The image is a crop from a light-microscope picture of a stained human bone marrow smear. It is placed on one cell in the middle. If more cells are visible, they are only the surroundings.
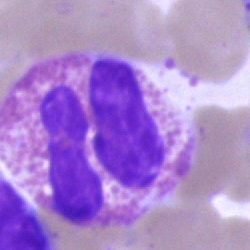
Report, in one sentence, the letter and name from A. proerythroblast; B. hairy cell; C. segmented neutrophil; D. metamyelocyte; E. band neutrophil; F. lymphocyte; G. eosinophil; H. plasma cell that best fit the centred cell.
That cell in the center is an eosinophil, hence option G.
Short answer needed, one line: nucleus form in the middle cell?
Look at the nucleus and you will find it divided into two or more lobes.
